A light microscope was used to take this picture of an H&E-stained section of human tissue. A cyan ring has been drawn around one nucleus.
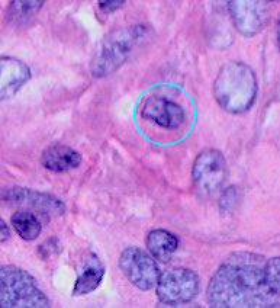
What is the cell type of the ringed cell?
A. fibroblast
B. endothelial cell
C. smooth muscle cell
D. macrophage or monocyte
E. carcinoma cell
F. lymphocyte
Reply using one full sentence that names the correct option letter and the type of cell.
The correct response is option D: the ringed cell is a macrophage or monocyte.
